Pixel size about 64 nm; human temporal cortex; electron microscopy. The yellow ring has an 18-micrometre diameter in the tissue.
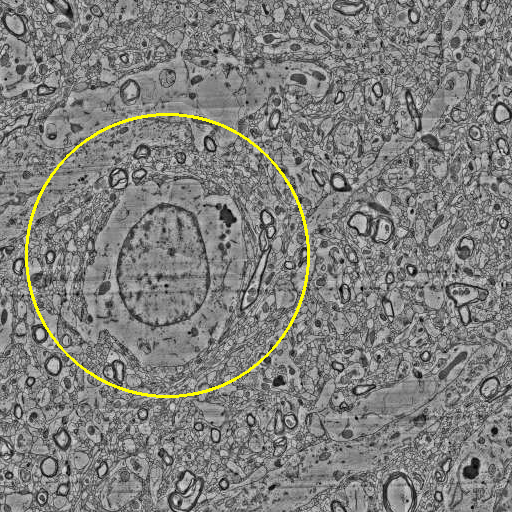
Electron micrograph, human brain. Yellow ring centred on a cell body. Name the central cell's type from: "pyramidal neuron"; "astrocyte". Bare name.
astrocyte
